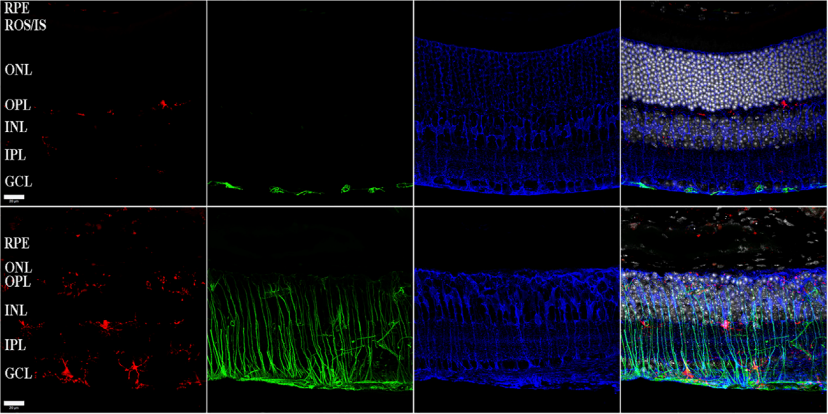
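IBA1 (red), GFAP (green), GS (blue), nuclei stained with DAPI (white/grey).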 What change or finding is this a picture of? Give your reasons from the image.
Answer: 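The outer retina is mostly degenerated. In the lower row, the outer band of nuclei is much thinner than in the upper row. The lower-row retina is thinner overall.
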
